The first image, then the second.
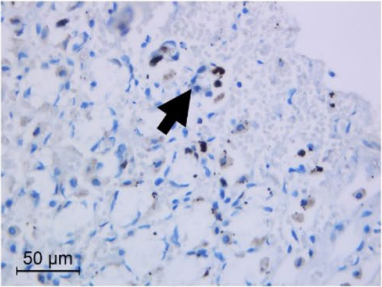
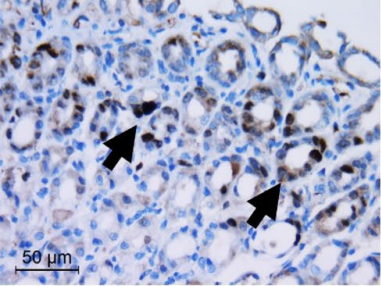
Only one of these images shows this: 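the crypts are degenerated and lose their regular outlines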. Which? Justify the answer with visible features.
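First image: pale, disorganized mucosa with few recognizable gland profiles and only scattered brown nuclei. Second image: regular round gland profiles closely packed, many with brown-stained nuclei.
Conclusion: the first image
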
